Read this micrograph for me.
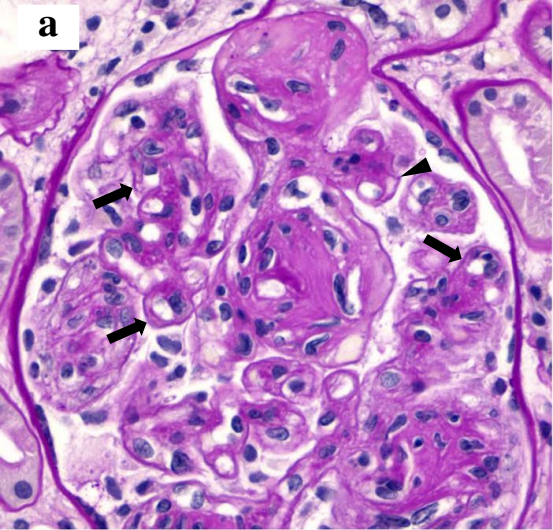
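This is a glomerulus inside Bowman's capsule, stained magenta with the matrix and basement membranes deepest in colour. Several lobules are enlarged by rounded nodules of pale magenta matrix, and the capillary loops are pushed to their edges. Many loop walls appear doubled, with two parallel magenta lines separated by a pale band, and some loops show a widened pale zone beneath the wall. Dark oval nuclei of endothelial, mesangial and epithelial cells lie scattered among the loops, and small open lumina are seen. Surrounding tubules with pale cuboidal epithelium lie outside the thick capsule.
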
